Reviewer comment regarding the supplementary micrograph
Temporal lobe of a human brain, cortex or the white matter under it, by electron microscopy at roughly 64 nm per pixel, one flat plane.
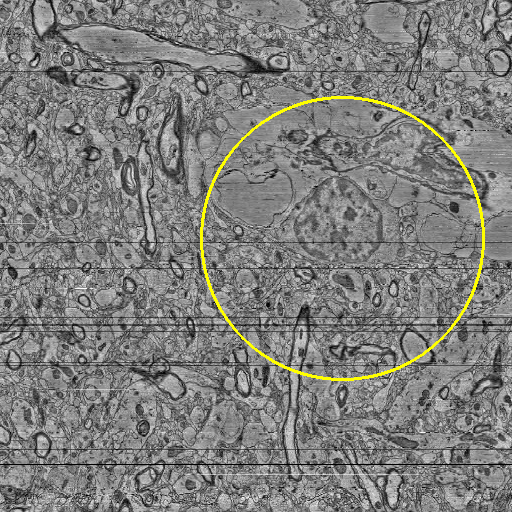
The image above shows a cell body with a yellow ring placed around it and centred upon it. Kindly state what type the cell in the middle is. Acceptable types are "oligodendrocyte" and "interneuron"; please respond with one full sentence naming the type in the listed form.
In the image above, the cell on which the yellow ring is centred is an oligodendrocyte.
